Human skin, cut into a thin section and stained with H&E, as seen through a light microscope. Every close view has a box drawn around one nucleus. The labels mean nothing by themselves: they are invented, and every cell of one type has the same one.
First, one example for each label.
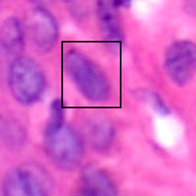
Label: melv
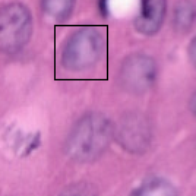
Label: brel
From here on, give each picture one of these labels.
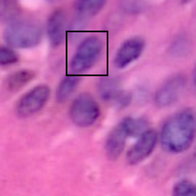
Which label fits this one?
melv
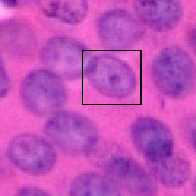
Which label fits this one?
brel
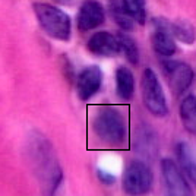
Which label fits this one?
melv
